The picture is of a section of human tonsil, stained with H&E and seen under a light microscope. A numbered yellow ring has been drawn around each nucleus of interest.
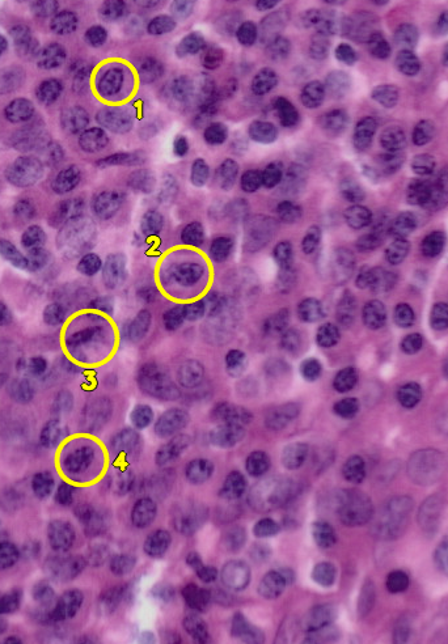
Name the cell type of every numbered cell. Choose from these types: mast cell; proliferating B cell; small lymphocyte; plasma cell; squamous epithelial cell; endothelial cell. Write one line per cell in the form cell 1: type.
cell 1: plasma cell
cell 2: plasma cell
cell 3: squamous epithelial cell
cell 4: plasma cell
